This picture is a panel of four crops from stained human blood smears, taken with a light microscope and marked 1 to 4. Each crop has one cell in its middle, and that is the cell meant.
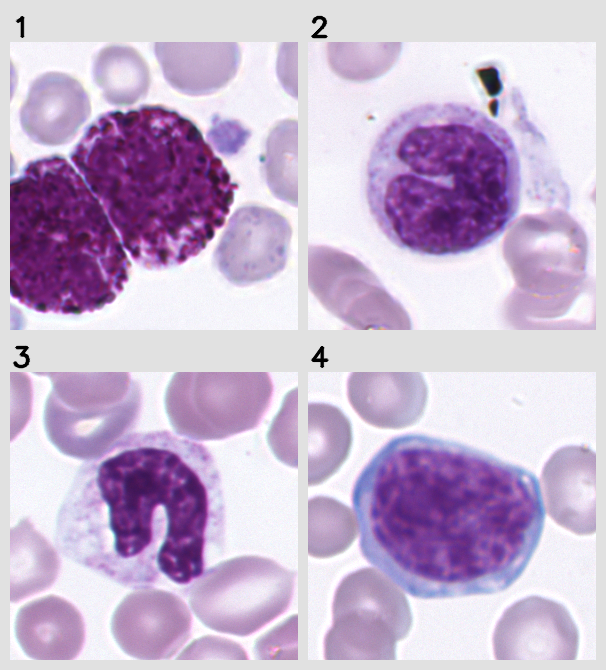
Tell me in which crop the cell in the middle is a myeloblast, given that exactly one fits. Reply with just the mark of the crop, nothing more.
4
